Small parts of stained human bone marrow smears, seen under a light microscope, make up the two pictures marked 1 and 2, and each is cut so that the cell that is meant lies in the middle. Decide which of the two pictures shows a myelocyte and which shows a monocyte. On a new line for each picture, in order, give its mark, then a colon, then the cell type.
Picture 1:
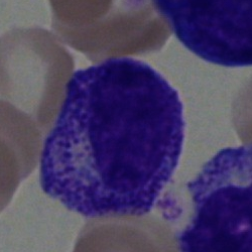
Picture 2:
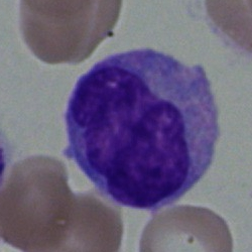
1: myelocyte
2: monocyte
